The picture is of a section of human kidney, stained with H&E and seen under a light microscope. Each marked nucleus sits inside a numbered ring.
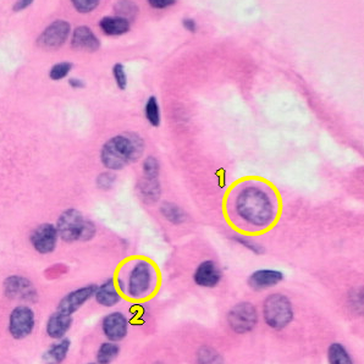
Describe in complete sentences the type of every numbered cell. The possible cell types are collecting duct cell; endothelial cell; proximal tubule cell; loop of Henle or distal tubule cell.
Cell 1 is a proximal tubule cell and cell 2 is a collecting duct cell.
